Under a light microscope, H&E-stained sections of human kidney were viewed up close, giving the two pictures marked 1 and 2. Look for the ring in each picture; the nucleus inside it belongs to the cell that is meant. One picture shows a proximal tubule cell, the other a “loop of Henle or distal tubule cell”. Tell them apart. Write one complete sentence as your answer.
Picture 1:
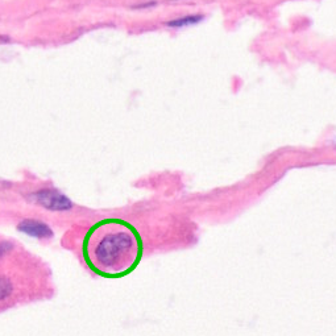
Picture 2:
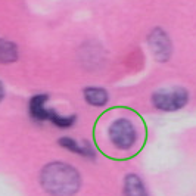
The cell in picture 1 is a proximal tubule cell, and the one in picture 2 is a “loop of Henle or distal tubule cell”.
